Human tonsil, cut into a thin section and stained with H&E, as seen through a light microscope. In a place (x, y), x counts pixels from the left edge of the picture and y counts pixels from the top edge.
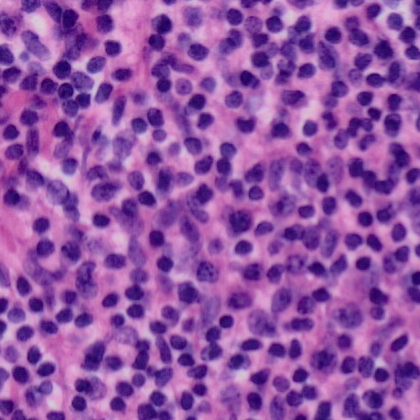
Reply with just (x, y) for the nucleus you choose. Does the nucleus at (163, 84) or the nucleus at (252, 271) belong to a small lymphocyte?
(163, 84)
